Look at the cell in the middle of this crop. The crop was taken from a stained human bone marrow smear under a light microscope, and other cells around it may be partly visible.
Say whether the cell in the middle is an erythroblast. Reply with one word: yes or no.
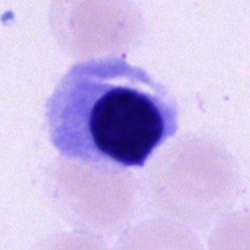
yes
